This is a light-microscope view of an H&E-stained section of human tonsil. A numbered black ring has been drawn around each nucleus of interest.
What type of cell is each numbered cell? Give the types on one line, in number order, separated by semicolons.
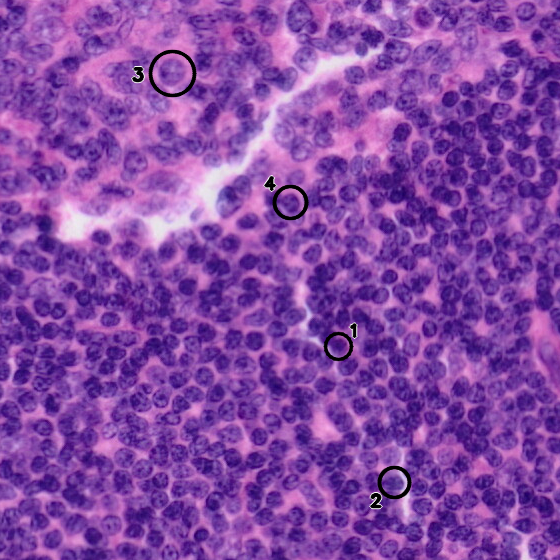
small lymphocyte; small lymphocyte; proliferating B cell; small lymphocyte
